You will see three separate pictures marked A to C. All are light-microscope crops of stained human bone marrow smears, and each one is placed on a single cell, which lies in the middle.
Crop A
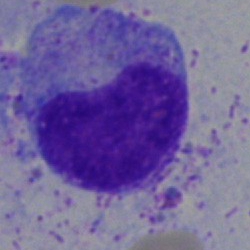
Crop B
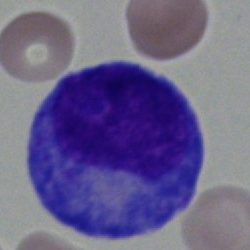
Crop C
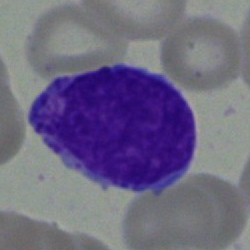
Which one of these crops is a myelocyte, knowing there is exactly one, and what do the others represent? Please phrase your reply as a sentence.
For crop A the cell is a myelocyte, while crop B is a promyelocyte and crop C is a blast.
